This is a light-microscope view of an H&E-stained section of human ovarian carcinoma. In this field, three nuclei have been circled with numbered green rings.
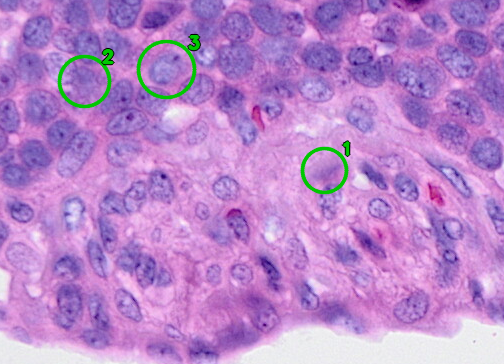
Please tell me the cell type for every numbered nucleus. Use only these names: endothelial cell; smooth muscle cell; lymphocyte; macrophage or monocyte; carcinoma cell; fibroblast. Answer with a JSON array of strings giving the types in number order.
["fibroblast", "carcinoma cell", "carcinoma cell"]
